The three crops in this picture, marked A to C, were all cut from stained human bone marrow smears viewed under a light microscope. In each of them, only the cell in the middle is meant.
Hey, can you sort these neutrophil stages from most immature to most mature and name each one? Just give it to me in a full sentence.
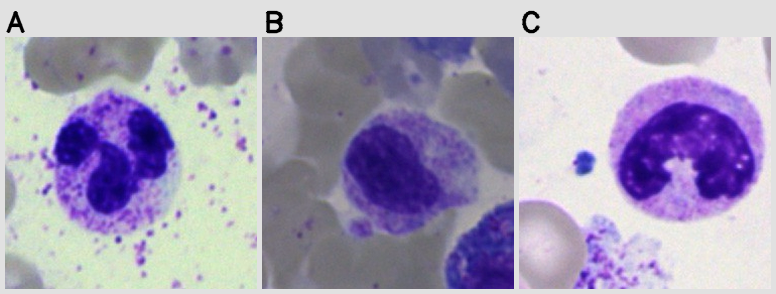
Ranked from least to most mature, the sequence is crop B (a myelocyte), crop C (a band neutrophil) and crop A (a segmented neutrophil).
